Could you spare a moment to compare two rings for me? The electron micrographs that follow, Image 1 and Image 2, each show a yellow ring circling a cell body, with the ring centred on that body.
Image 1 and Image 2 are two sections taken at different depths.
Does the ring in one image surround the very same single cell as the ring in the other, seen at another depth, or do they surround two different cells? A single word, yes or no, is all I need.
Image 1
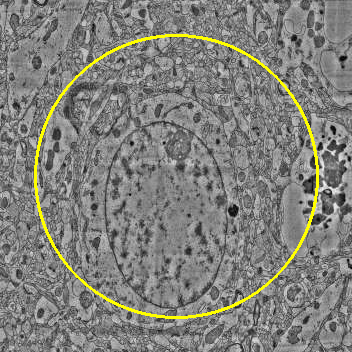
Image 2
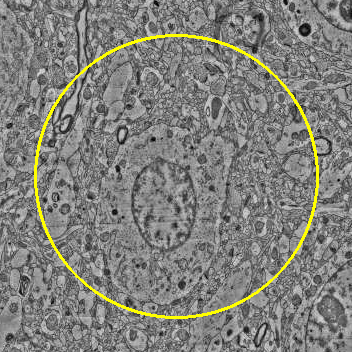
no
